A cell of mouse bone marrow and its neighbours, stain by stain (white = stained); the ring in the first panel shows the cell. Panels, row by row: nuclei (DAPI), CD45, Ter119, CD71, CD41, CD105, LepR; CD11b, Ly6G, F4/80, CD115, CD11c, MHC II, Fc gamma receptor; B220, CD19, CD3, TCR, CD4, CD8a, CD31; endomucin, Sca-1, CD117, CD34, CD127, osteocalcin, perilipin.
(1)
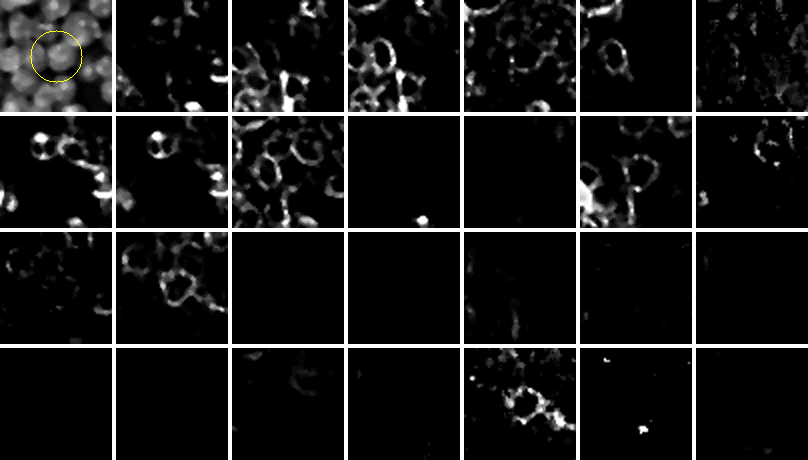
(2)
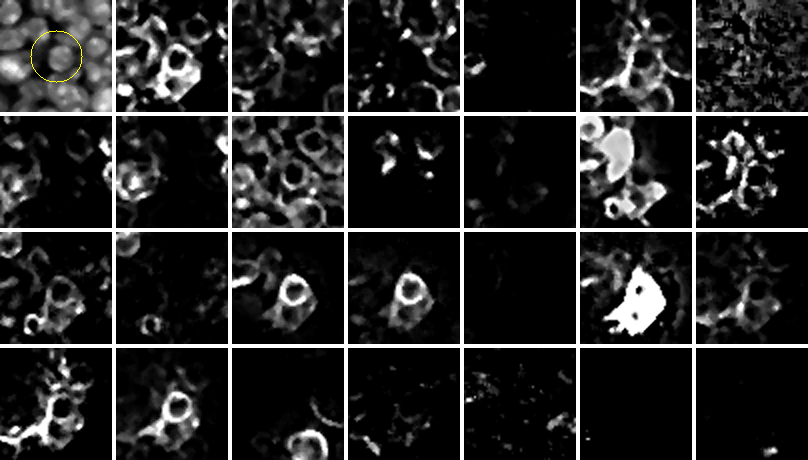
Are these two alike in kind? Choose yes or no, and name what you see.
No. First a common lymphoid progenitor, second a CD8 T cell.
